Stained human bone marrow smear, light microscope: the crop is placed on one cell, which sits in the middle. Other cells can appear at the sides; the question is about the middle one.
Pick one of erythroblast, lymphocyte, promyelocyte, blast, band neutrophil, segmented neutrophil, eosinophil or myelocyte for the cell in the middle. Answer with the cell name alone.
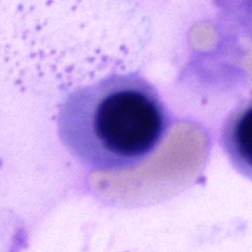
erythroblast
